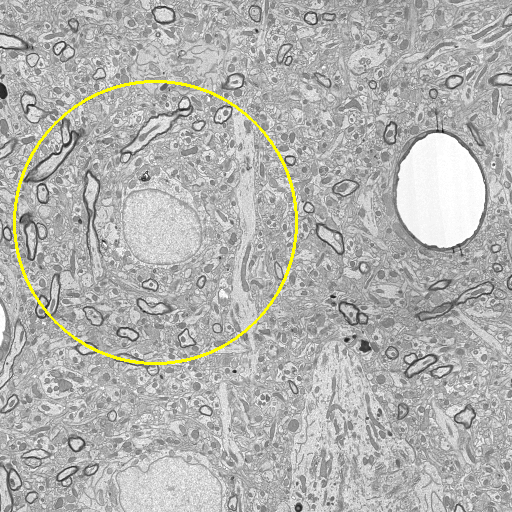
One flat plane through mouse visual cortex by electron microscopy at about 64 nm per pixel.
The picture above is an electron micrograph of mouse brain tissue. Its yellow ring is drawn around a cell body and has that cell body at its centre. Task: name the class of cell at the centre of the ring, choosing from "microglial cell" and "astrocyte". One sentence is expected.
The ring surrounds the body of an astrocyte.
